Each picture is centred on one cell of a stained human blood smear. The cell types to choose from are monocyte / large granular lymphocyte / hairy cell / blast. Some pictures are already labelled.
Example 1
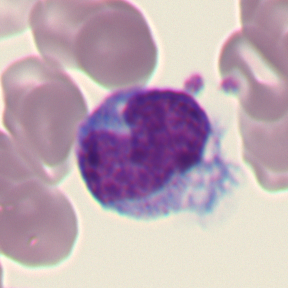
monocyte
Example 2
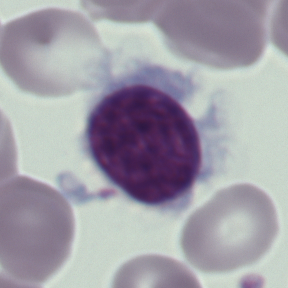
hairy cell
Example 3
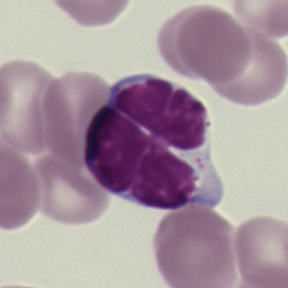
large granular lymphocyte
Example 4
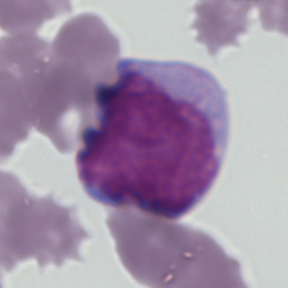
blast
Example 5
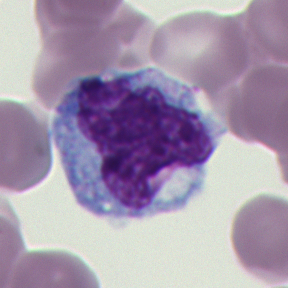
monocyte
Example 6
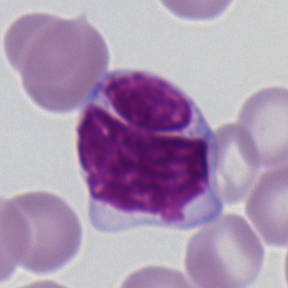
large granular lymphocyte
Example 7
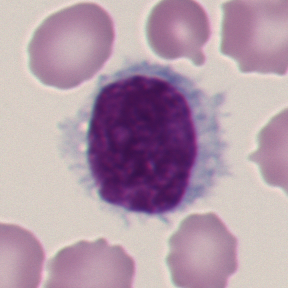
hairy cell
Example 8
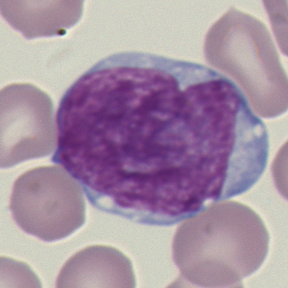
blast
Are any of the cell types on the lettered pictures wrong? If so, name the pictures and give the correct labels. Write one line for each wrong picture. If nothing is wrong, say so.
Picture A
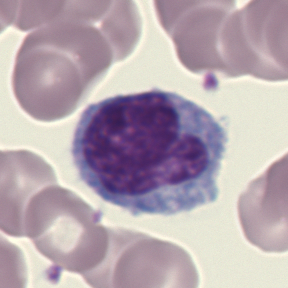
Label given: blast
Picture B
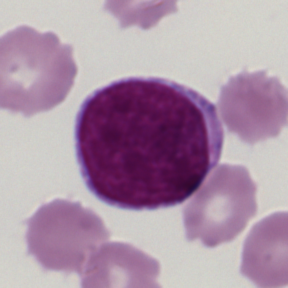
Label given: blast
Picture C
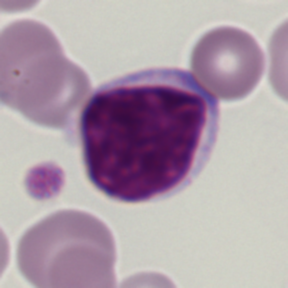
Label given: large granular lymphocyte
A: monocyte, not blast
